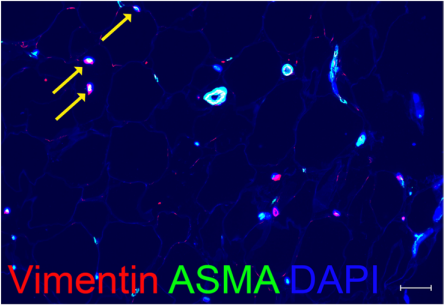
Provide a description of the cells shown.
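The image shows adipose tissue in which large adipocytes appear as a meshwork of faint blue polygonal outlines with empty interiors. Scattered between them, in the narrow spaces where the outlines meet, lie small cells with bright blue nuclei. Several round, ring-shaped structures with a dark centre, stained strongly green and cyan, are small blood vessels, the largest near the upper middle. Elongated stained profiles also run along the right edge between the fat cells.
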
